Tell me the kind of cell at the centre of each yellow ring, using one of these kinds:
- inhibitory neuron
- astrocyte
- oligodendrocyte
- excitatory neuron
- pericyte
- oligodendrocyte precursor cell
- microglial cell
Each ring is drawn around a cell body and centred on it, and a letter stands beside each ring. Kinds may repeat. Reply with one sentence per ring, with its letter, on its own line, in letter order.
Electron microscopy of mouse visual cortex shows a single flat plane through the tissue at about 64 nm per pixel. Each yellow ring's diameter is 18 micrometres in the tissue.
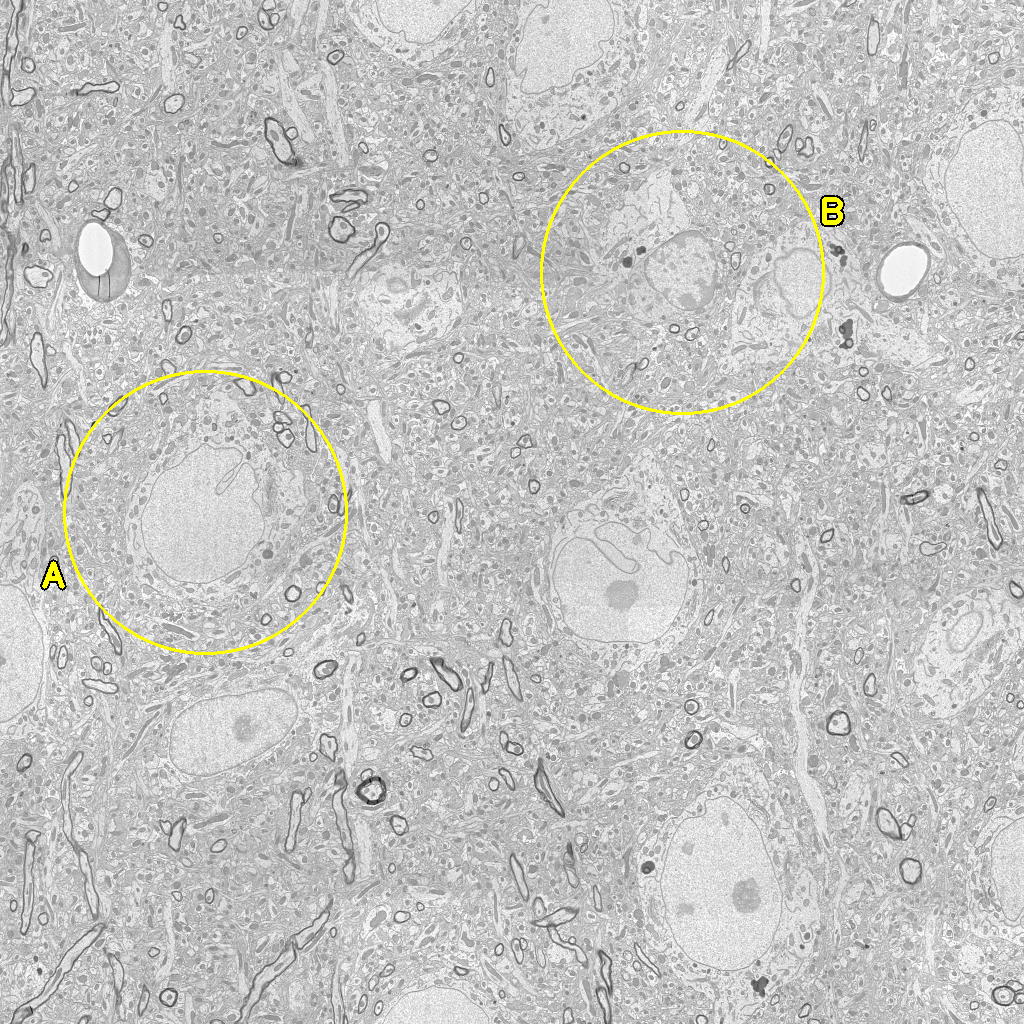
The ring labelled A is centred on an excitatory neuron.
The ring labelled B is centred on an oligodendrocyte.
